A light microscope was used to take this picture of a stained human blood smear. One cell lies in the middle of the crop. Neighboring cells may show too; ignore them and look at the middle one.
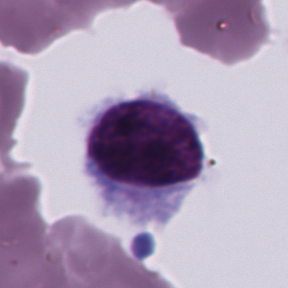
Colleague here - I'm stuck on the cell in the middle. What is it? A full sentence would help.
Located at the centre of the crop is a hairy cell.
